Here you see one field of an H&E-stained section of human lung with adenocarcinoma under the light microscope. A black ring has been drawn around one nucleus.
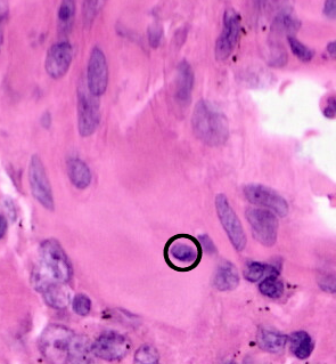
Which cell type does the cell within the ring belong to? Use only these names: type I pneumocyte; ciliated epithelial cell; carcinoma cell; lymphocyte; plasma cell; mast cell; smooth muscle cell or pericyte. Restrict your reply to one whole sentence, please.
Within this tissue, the cell within the ring is a mast cell.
